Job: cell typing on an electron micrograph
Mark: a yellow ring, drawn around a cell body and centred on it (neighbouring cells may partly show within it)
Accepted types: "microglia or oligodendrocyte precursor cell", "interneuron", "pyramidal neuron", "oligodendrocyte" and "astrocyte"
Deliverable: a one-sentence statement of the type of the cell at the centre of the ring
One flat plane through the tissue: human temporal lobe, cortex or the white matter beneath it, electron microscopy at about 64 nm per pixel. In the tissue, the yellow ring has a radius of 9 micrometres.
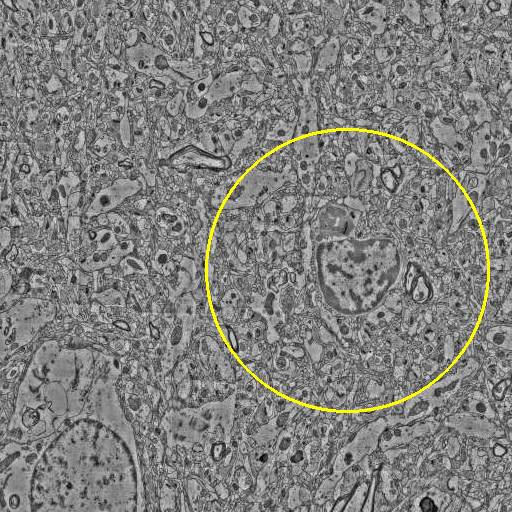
The centred cell body is that of a microglial cell or oligodendrocyte precursor cell.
